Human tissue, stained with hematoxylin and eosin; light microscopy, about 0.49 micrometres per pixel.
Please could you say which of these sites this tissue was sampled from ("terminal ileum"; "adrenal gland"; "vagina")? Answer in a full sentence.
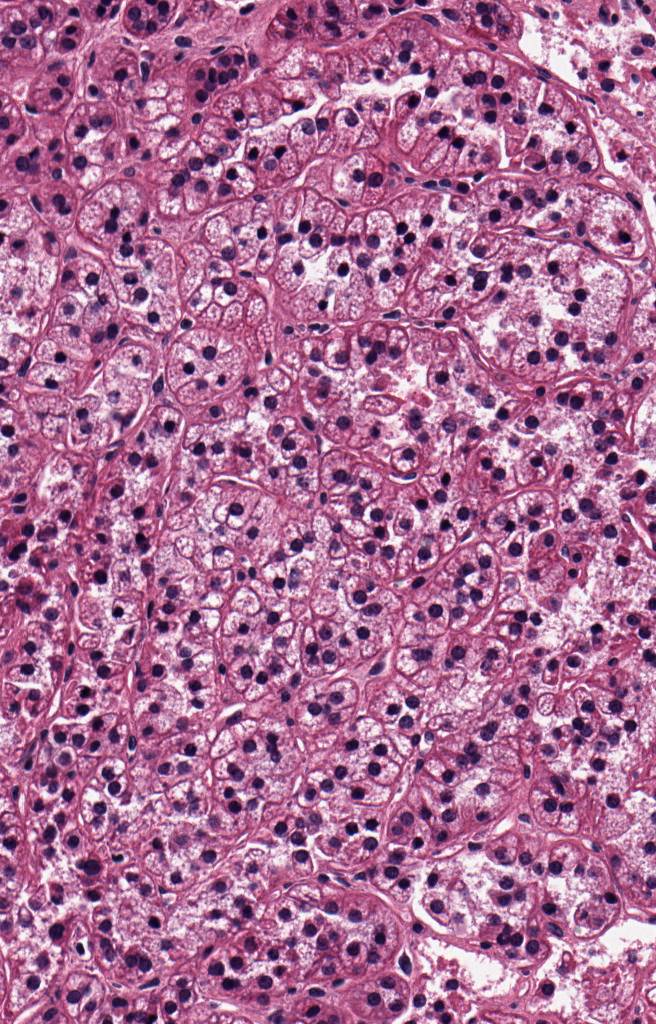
The site this tissue was sampled from is the adrenal gland.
